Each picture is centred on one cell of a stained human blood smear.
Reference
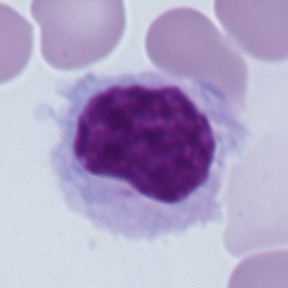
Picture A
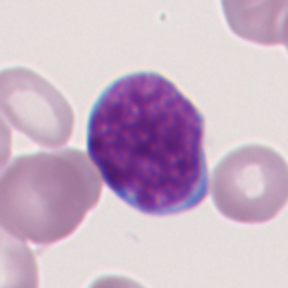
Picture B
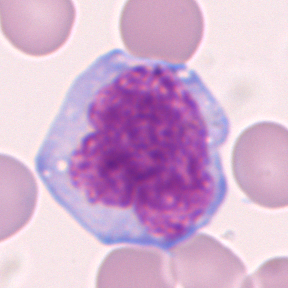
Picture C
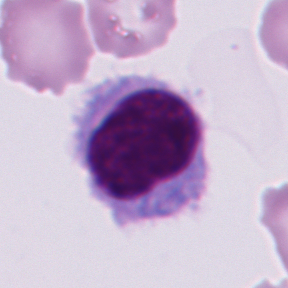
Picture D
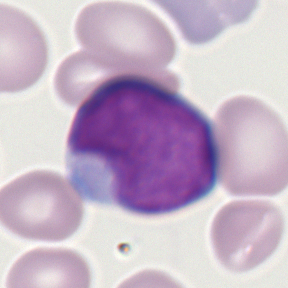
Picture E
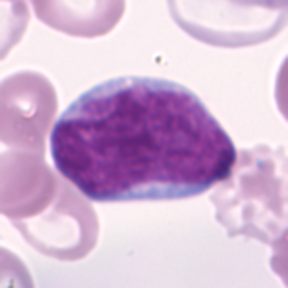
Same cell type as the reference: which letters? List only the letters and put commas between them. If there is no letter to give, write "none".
C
